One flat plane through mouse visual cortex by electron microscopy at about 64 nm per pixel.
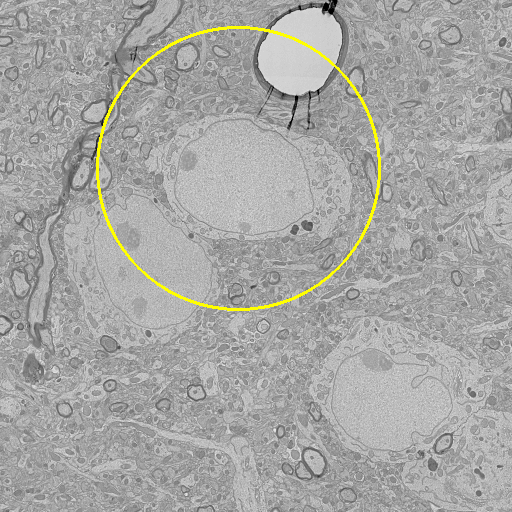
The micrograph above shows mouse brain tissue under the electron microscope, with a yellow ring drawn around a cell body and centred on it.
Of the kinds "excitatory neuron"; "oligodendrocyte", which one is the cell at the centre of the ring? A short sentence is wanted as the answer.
The one at the centre of the ring is an excitatory neuron.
